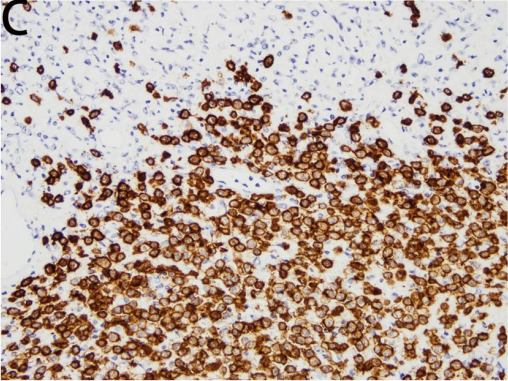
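Tumor tissue in which rounded tumor cells carry a strong brown stain of membrane and cytoplasm. The stained cells are crowded together in the lower part of the field. Toward the top they thin out into a loose, pale, weakly cellular area. Between and above them lie unstained cells with small blue nuclei.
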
